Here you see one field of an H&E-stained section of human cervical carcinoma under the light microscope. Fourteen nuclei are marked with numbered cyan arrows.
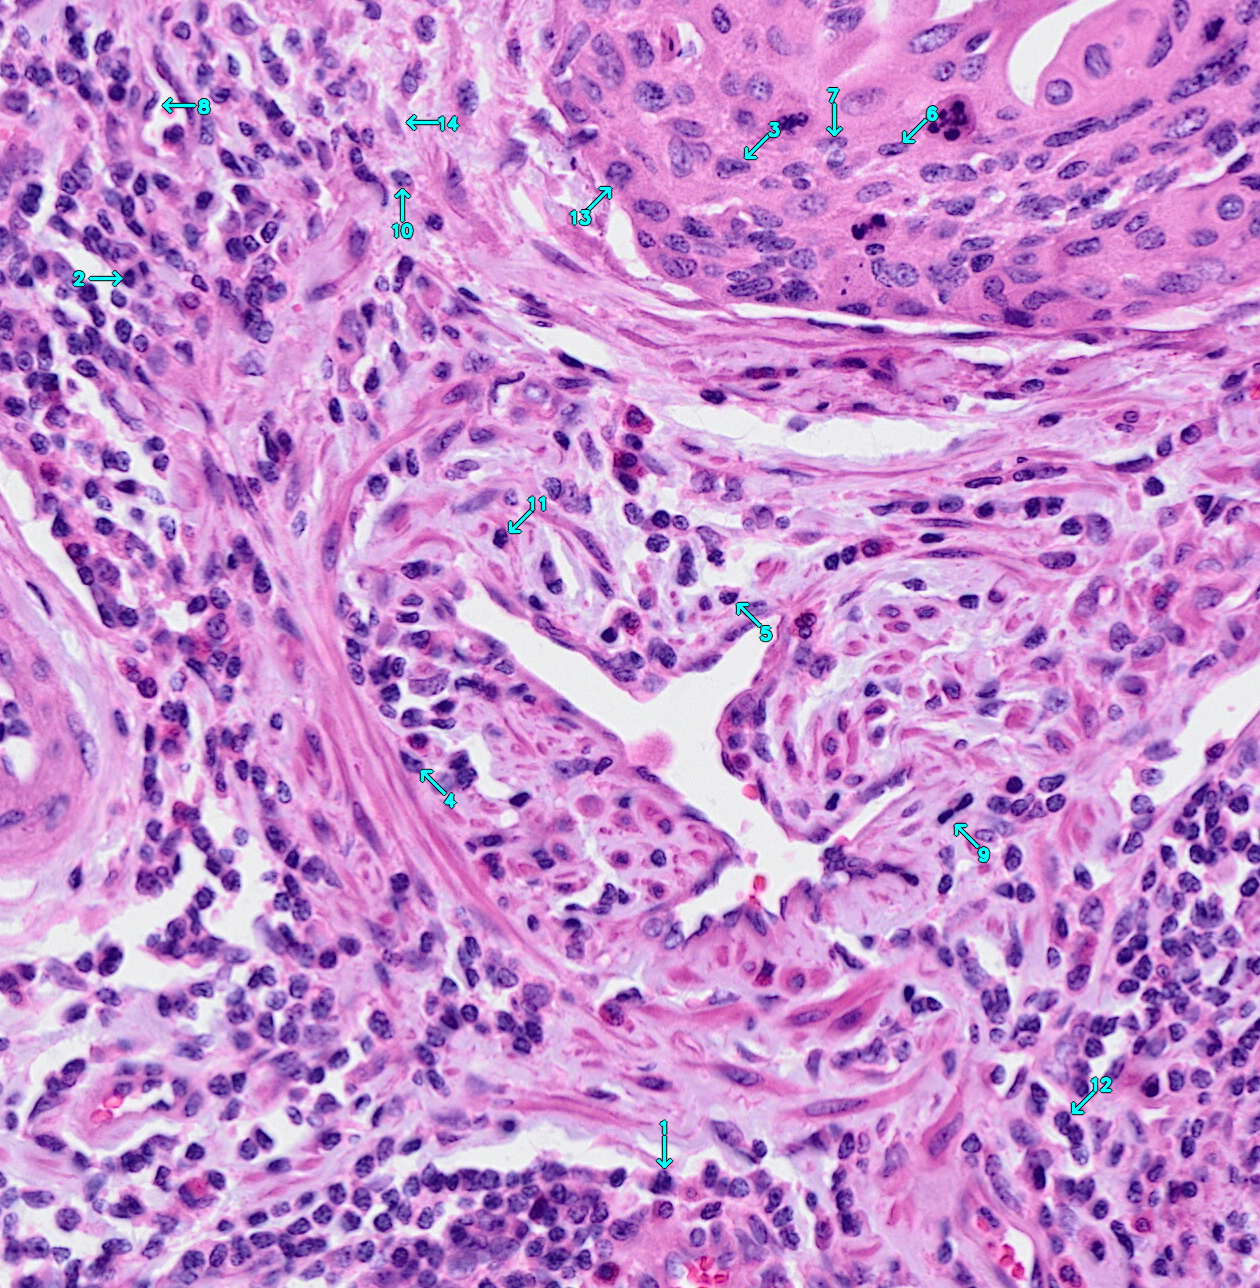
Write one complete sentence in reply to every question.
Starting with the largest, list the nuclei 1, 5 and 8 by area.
From largest to smallest, the order is 1, 8, 5.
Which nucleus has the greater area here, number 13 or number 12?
The larger nucleus is 13, at roughly 2.5 times the area of 12.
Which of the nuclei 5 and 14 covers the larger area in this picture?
Number 14 is larger; its area is about 2 times that of number 5.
